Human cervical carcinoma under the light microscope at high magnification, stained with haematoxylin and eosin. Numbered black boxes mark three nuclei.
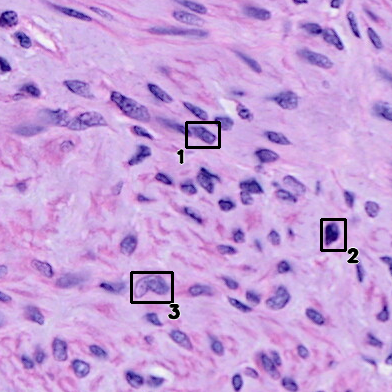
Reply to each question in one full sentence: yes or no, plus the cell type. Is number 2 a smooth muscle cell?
No, cell number 2 is a lymphocyte; it is not a smooth muscle cell.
